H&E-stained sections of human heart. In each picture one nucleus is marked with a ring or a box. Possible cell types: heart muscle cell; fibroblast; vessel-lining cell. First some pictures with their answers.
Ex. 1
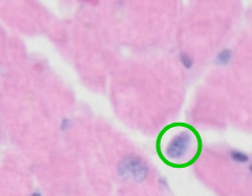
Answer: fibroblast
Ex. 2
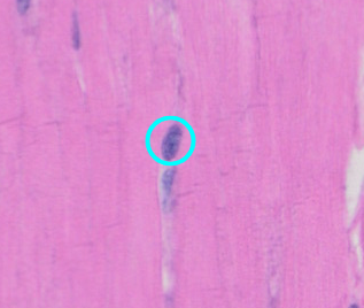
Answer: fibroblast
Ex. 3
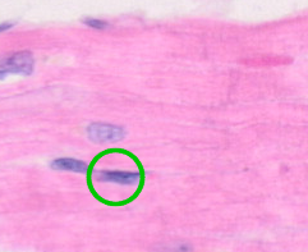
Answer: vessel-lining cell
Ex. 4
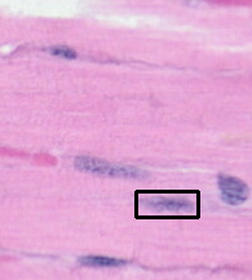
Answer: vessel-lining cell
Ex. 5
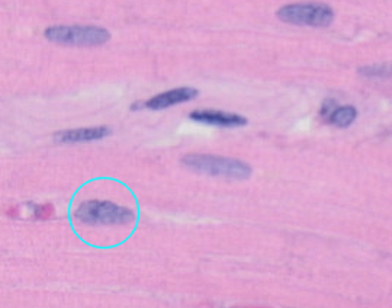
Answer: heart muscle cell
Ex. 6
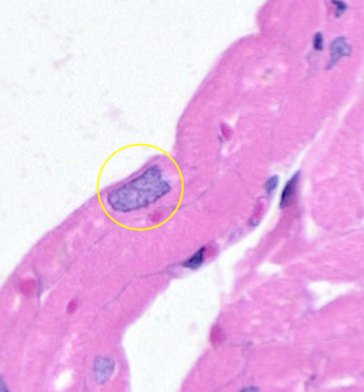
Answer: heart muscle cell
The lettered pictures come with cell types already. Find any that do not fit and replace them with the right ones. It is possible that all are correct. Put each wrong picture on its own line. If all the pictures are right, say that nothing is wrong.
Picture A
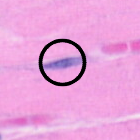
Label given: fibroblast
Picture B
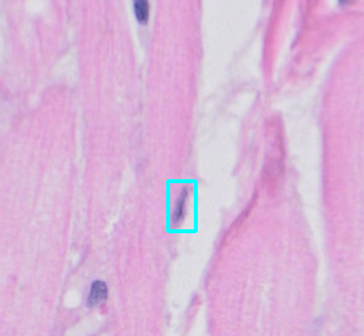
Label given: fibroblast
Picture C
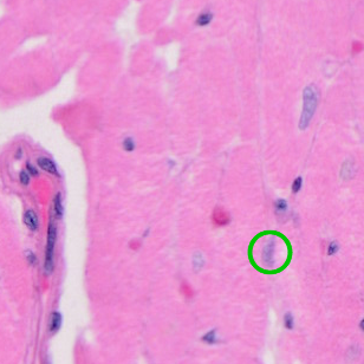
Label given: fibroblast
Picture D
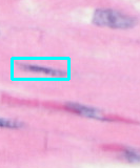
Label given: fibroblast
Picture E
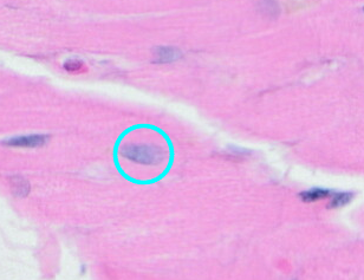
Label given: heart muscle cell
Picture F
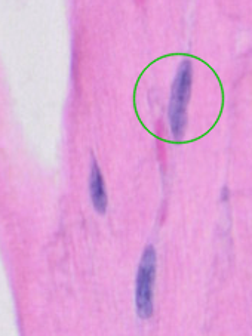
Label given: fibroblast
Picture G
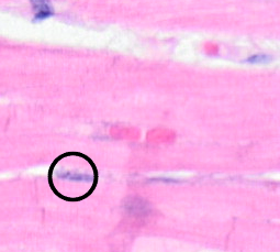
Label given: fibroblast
A: not fibroblast but vessel-lining cell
